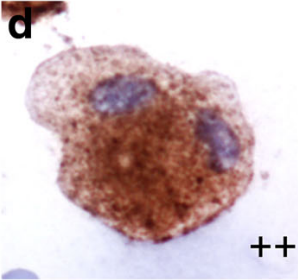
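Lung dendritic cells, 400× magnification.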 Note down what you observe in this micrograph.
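A single large, irregularly outlined cell lies alone on a pale background, much bigger than the small cell fragment at its lower edge. It holds two oval, pale blue-violet nuclei with fine chromatin, set apart from each other within the cytoplasm. The cytoplasm is broad and filled with fine brown granules, densest around and between the nuclei and paler toward the ragged margin. The outline is uneven, with a faint, lighter rim that looks like spreading cytoplasm.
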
